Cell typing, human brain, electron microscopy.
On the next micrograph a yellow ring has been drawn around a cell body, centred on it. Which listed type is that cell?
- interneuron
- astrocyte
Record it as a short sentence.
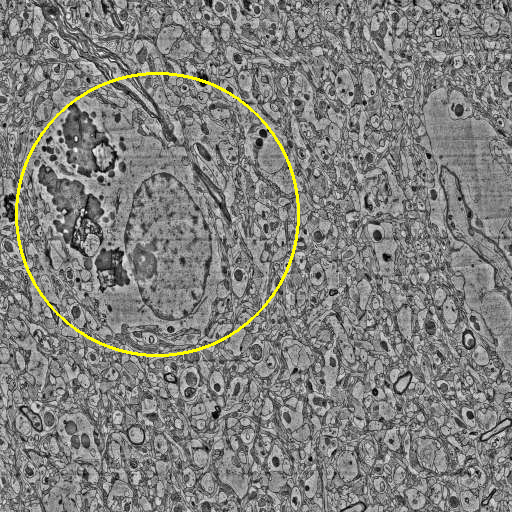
The cell body in the ring's centre belongs to an astrocyte.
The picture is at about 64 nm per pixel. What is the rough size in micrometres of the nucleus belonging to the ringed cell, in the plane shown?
In this plane the nucleus is clearly longer than it is wide, at approximately 9 by 5 micrometres.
